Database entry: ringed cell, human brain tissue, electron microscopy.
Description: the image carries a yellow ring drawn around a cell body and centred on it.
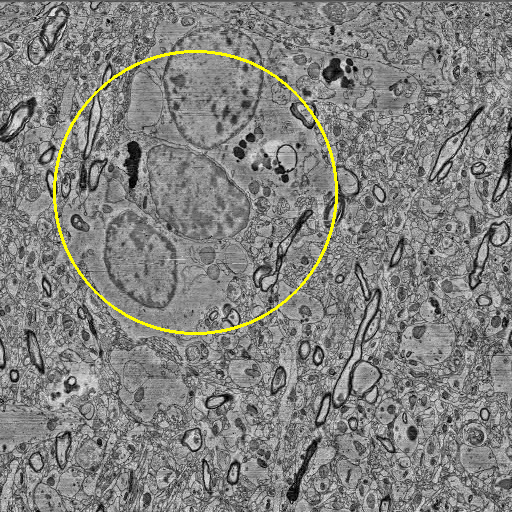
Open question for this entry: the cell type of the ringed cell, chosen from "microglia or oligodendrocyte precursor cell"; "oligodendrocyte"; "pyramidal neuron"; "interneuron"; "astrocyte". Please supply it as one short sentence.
The ringed cell is an oligodendrocyte.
